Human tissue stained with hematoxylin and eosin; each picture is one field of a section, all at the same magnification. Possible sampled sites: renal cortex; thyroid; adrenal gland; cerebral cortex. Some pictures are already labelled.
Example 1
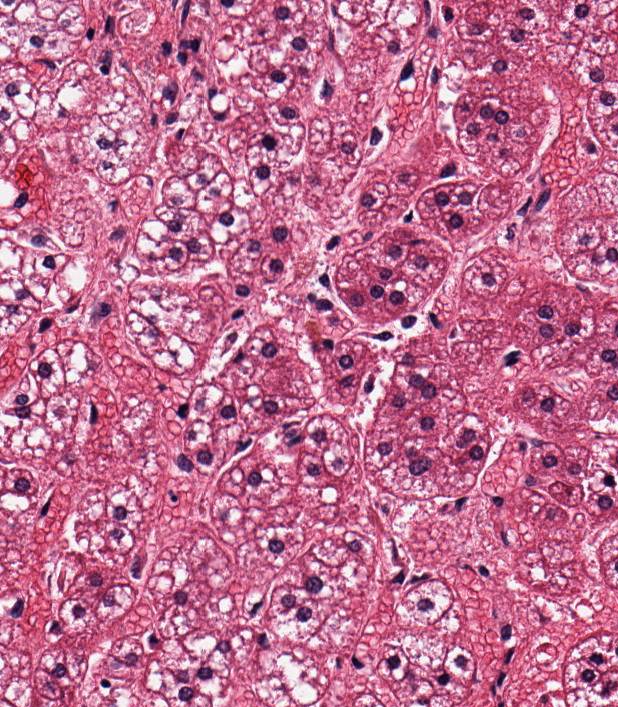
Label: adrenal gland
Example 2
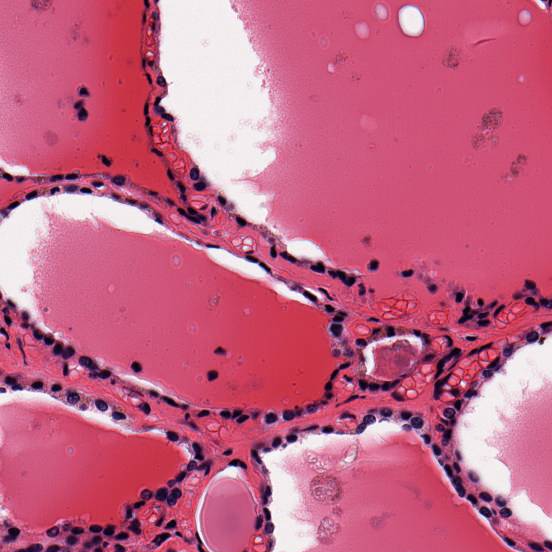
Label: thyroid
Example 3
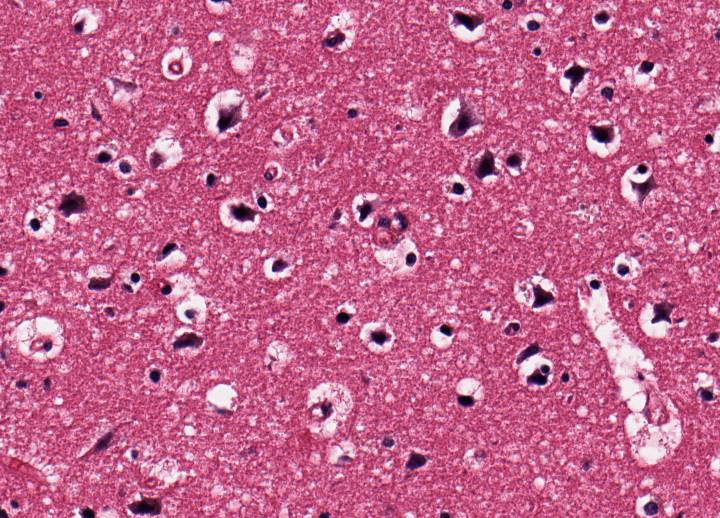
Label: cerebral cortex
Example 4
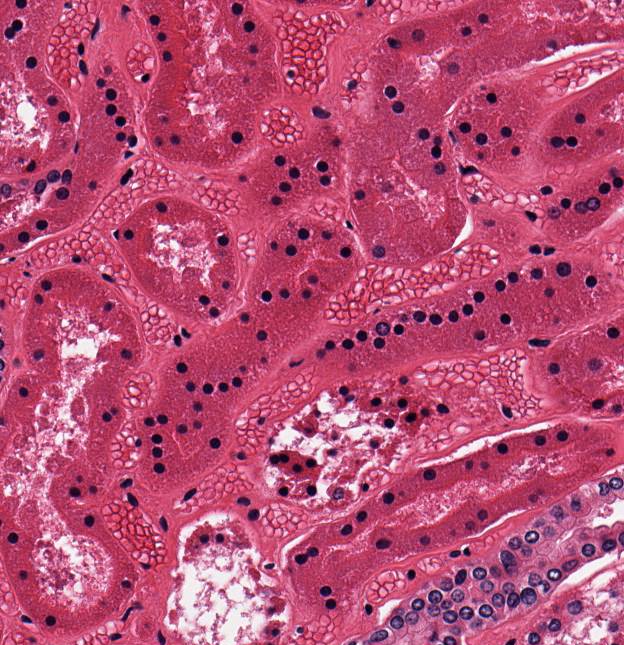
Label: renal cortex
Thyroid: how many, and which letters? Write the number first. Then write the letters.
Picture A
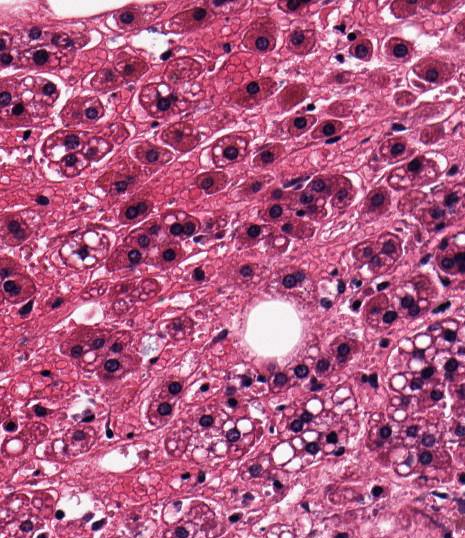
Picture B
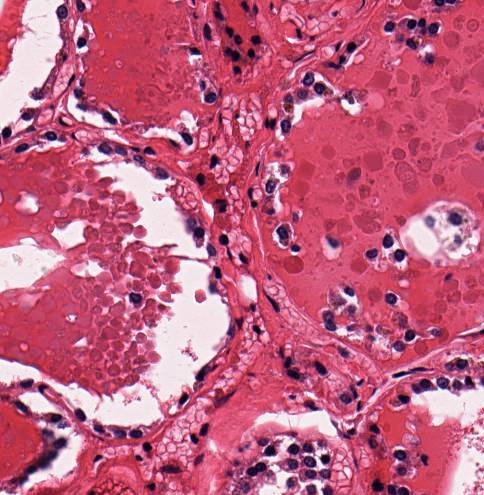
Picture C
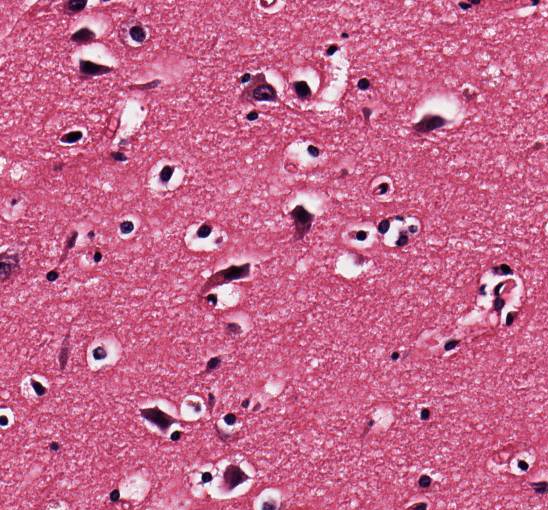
1: B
